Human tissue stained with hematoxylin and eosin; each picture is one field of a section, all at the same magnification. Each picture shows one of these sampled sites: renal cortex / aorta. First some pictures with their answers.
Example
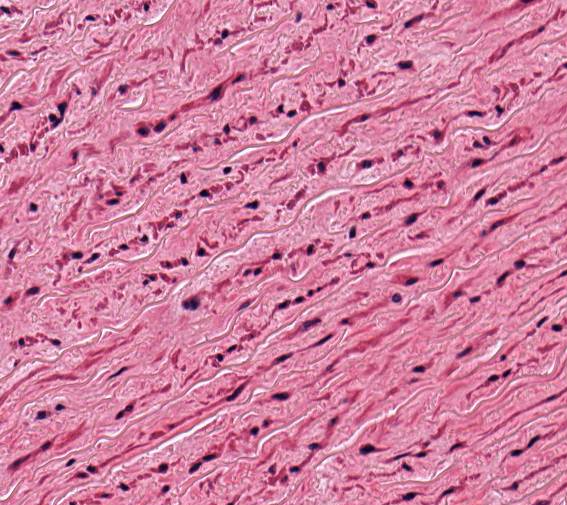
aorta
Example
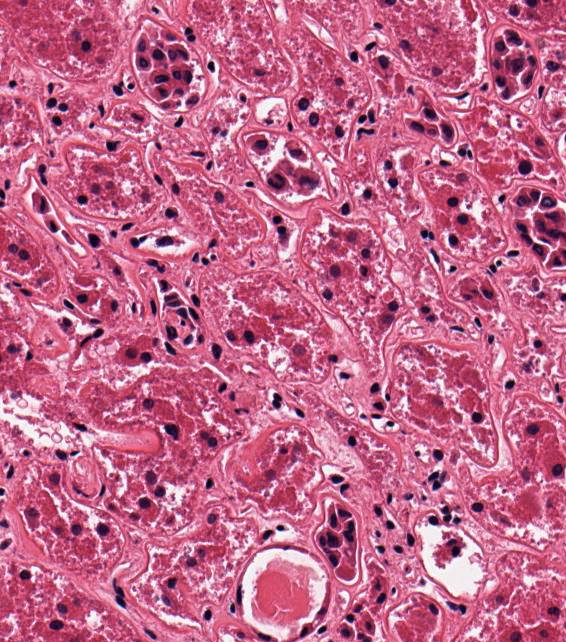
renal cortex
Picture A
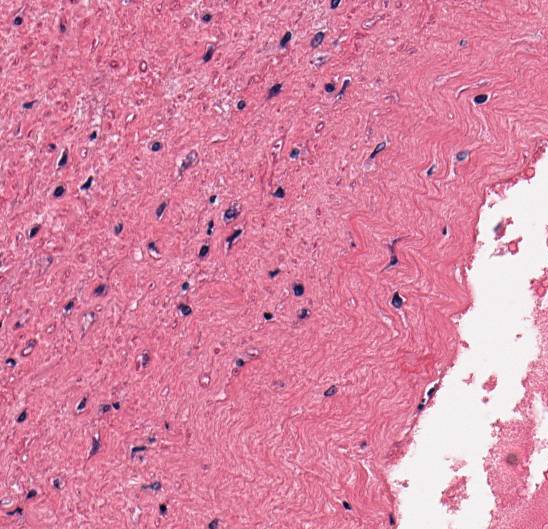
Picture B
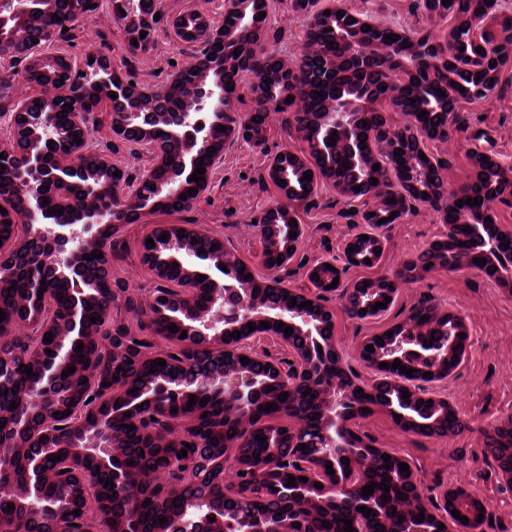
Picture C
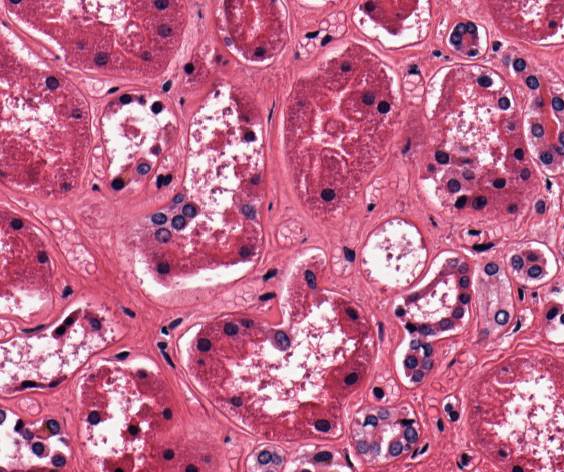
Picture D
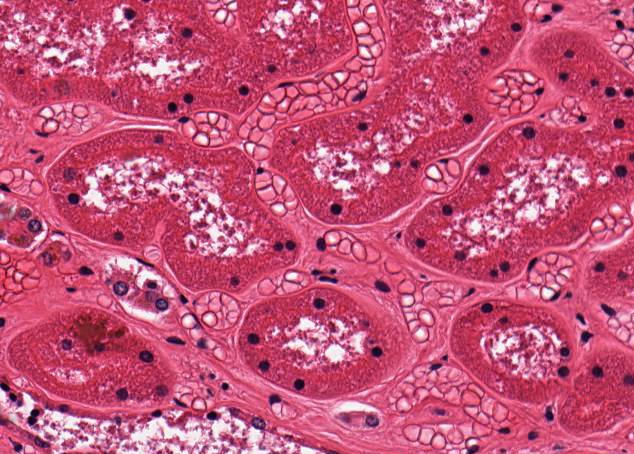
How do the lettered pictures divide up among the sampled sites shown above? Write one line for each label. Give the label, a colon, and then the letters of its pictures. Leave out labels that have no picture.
renal cortex: B, C, D
aorta: A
